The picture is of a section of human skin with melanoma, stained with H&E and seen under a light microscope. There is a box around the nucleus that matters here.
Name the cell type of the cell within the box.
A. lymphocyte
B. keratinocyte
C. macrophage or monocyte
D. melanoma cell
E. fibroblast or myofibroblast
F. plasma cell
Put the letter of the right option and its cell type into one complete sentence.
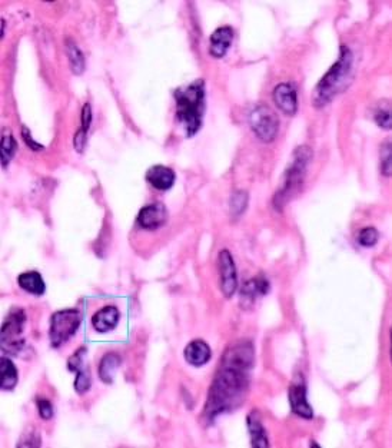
It is option A that is correct, the cell within the box being a lymphocyte.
